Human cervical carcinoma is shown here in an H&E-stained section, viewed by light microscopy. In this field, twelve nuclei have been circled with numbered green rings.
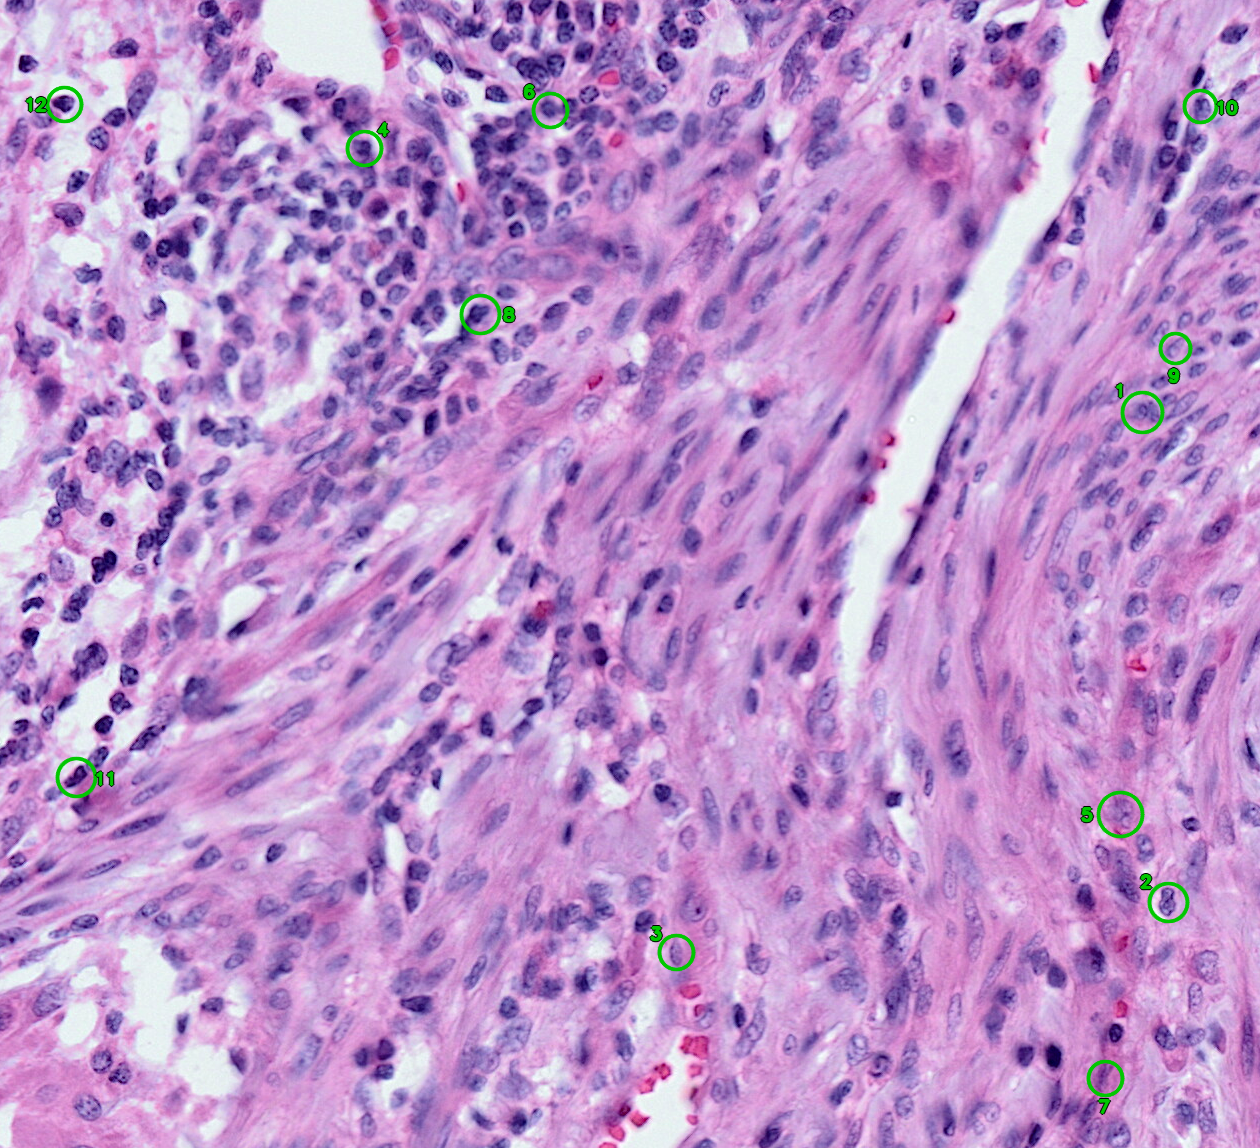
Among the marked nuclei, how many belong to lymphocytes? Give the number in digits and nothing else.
7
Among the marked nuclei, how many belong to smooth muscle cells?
2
